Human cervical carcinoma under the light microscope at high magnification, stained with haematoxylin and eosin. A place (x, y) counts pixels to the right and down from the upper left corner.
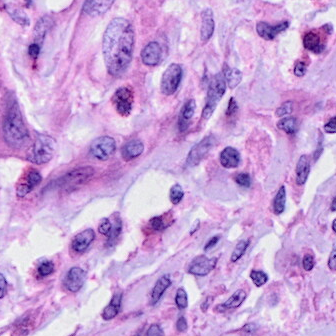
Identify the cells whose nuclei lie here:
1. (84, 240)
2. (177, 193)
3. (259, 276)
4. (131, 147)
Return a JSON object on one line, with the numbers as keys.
{"1": "macrophage or monocyte", "2": "lymphocyte", "3": "lymphocyte", "4": "endothelial cell"}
